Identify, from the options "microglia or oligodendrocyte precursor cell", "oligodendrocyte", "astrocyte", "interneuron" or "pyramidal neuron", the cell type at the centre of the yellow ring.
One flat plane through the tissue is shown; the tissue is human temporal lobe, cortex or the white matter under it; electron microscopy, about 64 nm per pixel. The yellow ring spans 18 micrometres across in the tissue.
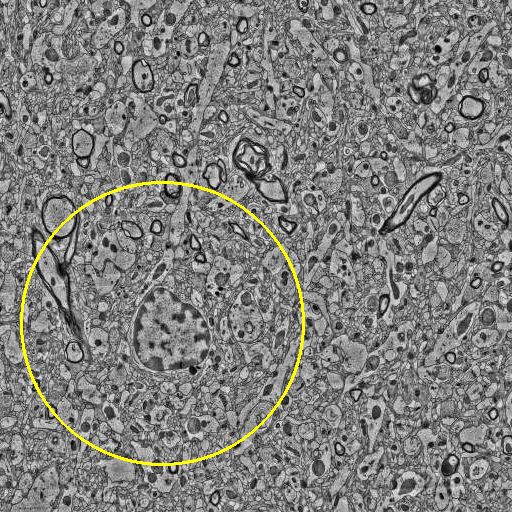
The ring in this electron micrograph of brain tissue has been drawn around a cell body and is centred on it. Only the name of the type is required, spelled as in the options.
microglia or oligodendrocyte precursor cell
